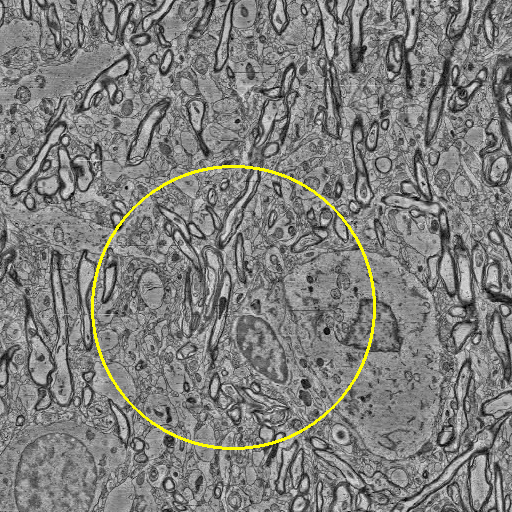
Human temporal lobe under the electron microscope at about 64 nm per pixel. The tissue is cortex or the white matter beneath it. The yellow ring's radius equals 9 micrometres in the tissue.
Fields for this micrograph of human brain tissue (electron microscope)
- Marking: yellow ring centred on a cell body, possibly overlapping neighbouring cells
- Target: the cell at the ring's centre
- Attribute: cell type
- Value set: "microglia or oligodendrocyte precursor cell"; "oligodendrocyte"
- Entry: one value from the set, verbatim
microglia or oligodendrocyte precursor cell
